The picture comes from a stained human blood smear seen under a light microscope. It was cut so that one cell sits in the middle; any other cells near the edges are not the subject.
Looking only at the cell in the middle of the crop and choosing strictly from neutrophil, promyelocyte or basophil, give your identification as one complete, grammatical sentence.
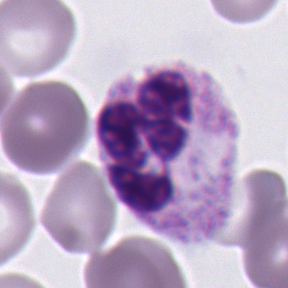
Classification of the middle cell gives a neutrophil.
